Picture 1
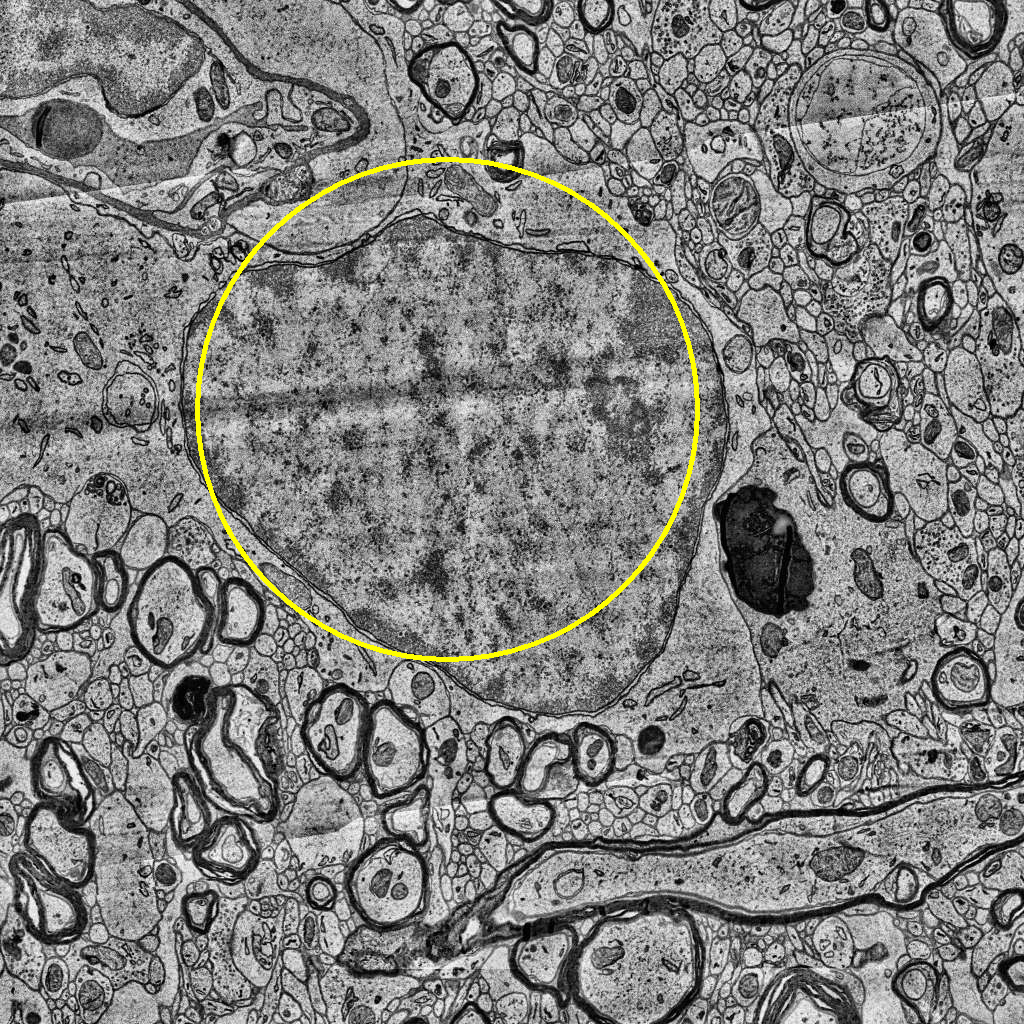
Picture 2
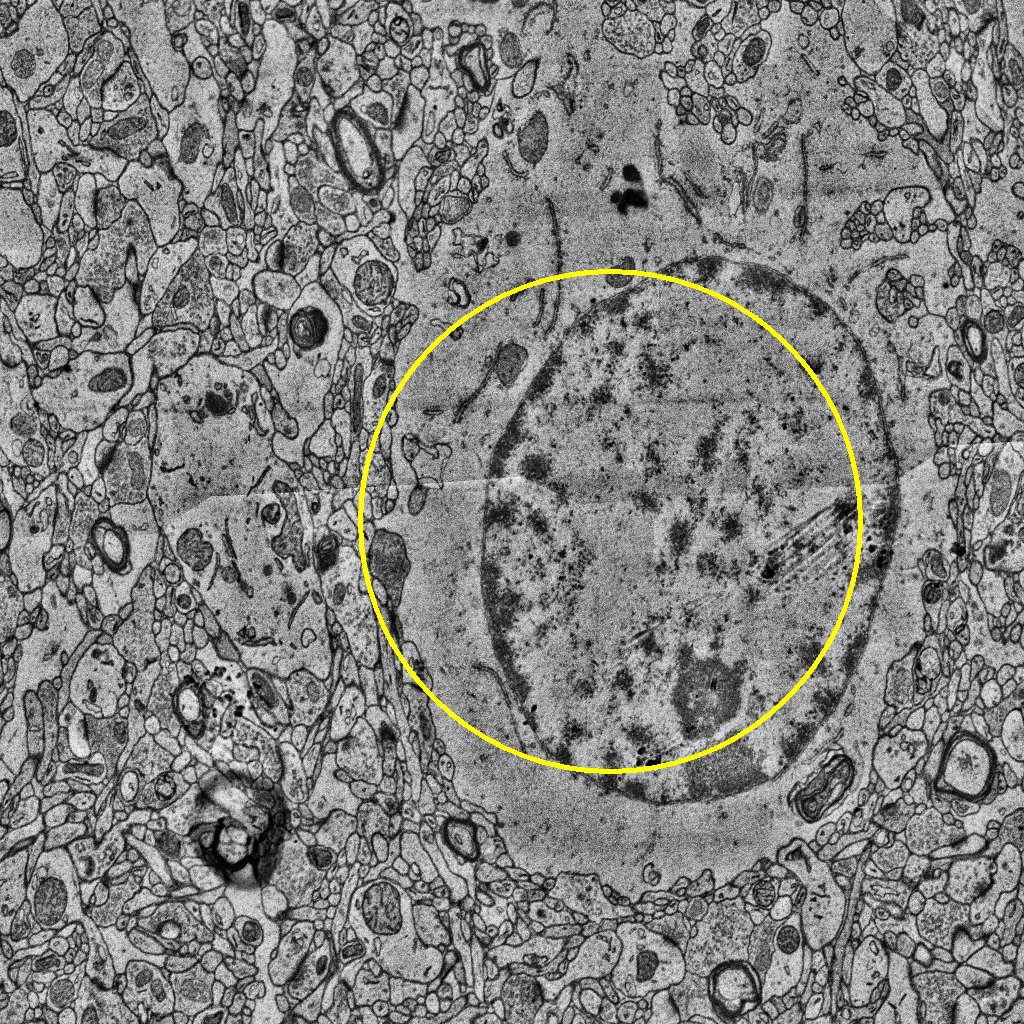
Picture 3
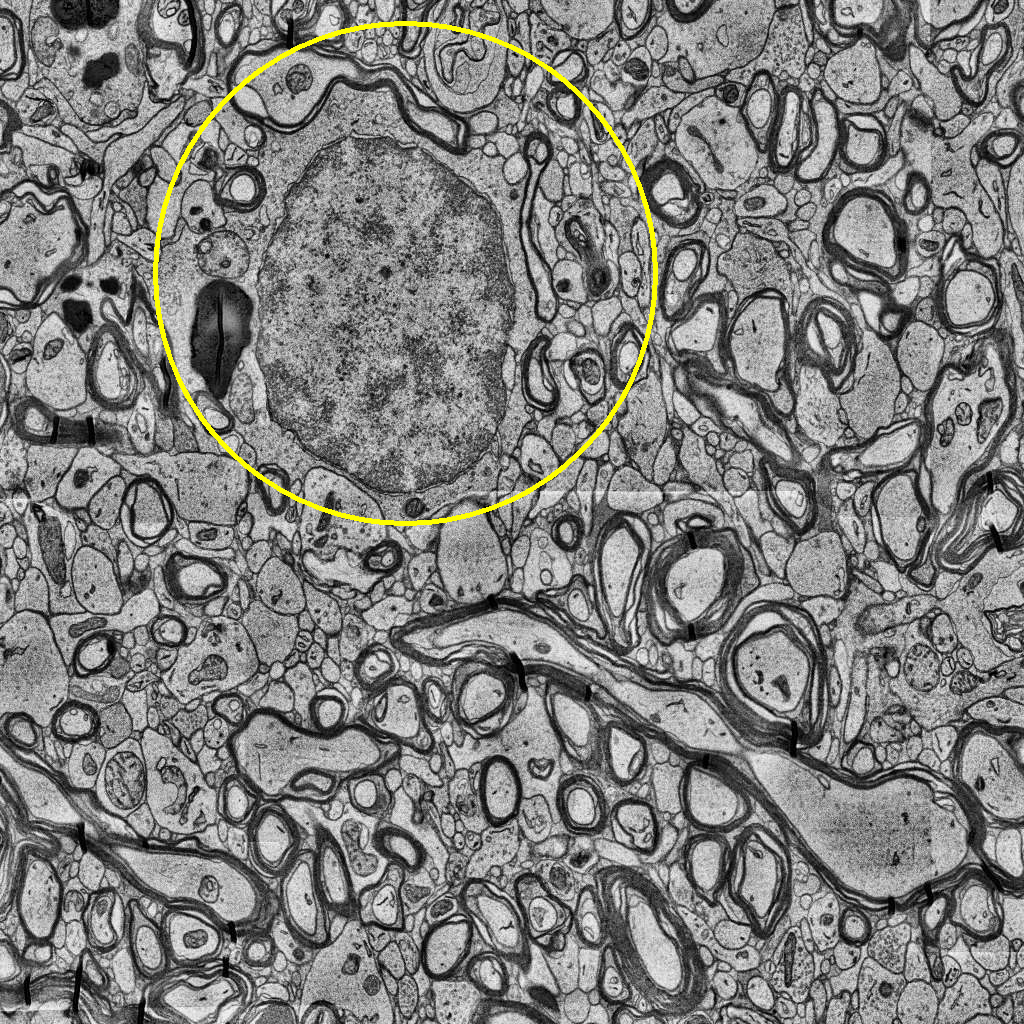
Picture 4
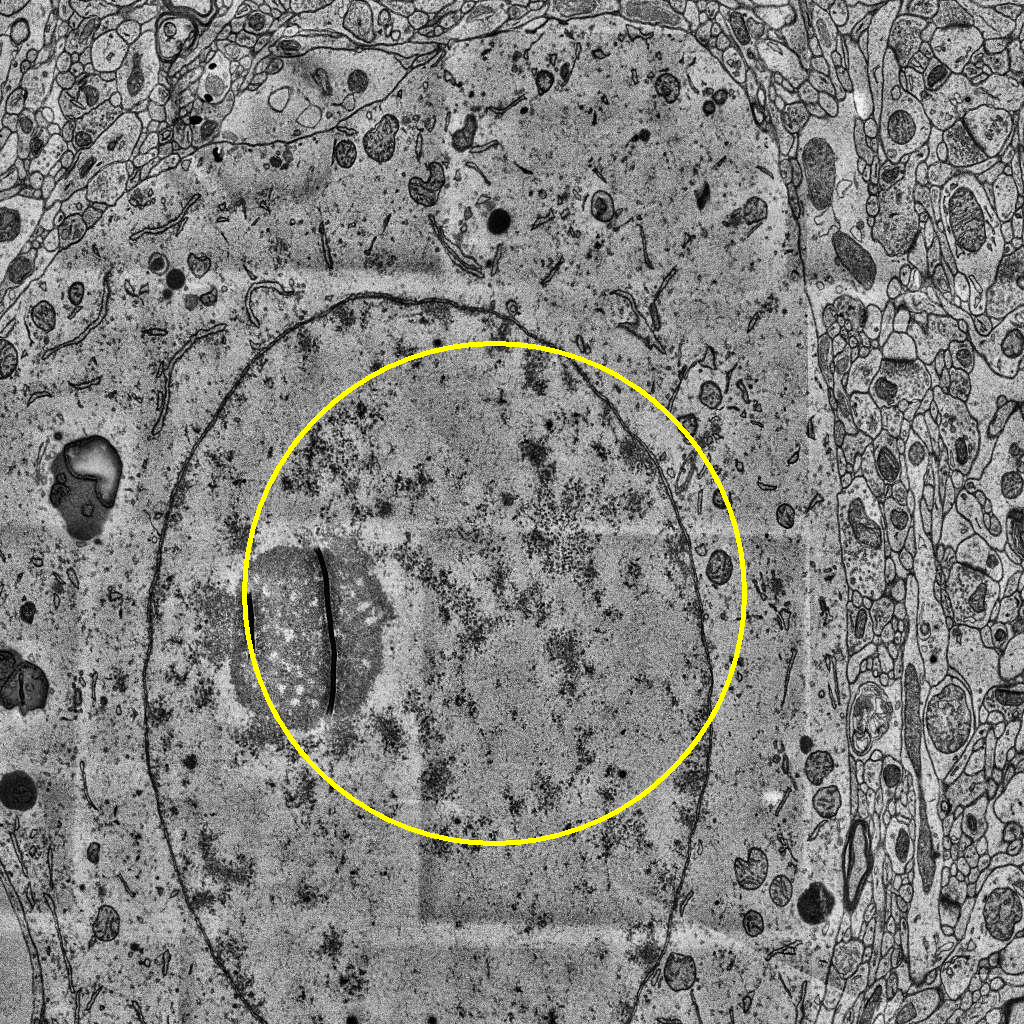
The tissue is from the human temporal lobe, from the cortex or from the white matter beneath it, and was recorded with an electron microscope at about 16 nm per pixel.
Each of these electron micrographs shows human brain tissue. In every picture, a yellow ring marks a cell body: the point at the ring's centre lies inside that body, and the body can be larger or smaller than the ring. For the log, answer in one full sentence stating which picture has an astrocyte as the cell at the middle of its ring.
In picture 2, the centre of the yellow ring lies inside the requested cell.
